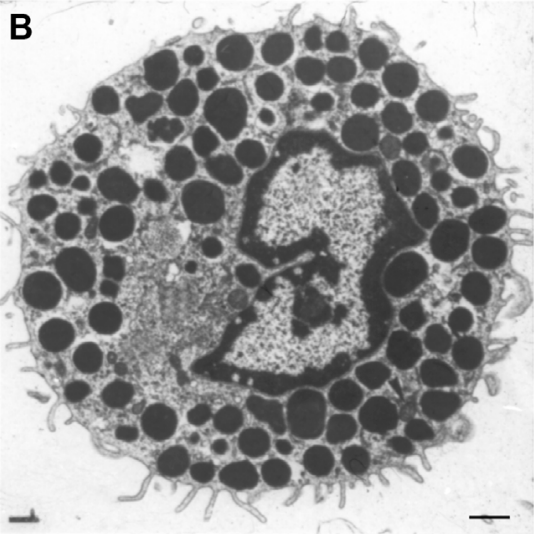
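A mast cell is seen in section, roughly round, with short thin projections along its surface. Its cytoplasm is crowded with many round, homogeneous, strongly electron-dense granules of varying size. The nucleus lies centrally, is irregular and indented, and has a dark rim of heterochromatin along its envelope. A narrow infolding of the nuclear envelope extends into the nucleus.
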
